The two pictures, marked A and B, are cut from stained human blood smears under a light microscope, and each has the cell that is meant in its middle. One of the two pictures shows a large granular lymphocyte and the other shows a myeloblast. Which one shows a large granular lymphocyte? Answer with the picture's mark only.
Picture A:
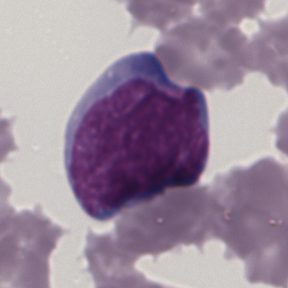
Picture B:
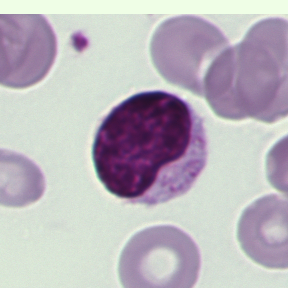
B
